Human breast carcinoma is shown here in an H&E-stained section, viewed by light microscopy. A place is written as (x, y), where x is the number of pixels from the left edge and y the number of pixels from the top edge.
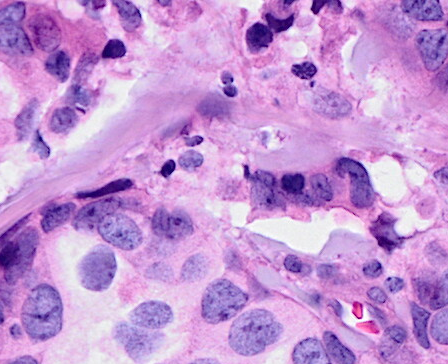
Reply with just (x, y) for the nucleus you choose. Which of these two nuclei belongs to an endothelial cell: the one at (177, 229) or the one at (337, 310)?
(337, 310)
